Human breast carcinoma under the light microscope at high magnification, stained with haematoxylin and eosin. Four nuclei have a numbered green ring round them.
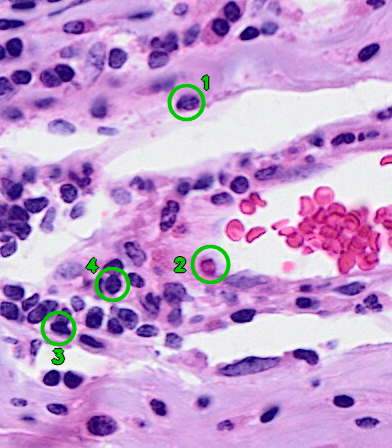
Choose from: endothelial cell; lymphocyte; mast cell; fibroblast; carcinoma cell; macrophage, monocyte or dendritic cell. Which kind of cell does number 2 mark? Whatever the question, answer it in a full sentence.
The cell marked with the number 2 is an endothelial cell.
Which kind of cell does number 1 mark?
Number 1 is placed on a lymphocyte here.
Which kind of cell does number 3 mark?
The cell referenced by the number 3 is a lymphocyte in this field.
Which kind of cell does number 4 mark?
The nucleus marked 4 is the nucleus of a lymphocyte.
